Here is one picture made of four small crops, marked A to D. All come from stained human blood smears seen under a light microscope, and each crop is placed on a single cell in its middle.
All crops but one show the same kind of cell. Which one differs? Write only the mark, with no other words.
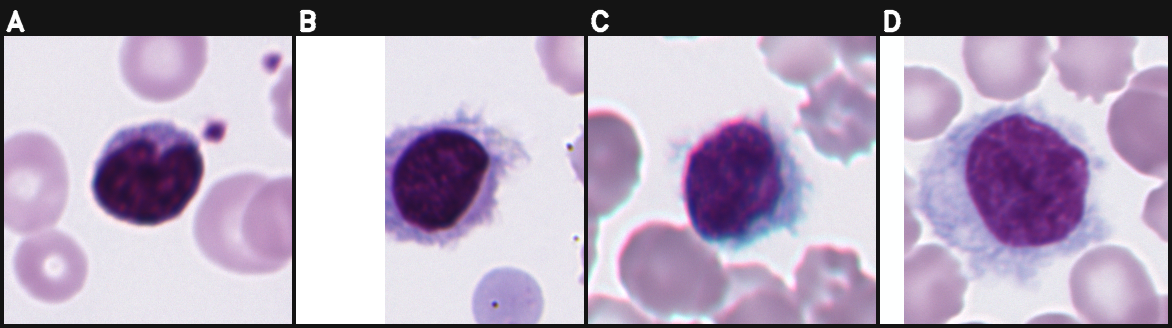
A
